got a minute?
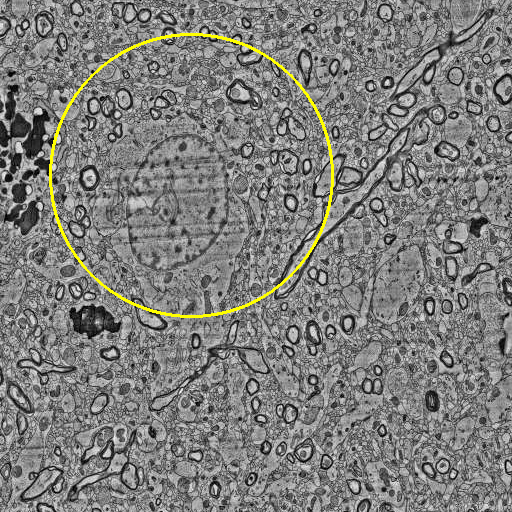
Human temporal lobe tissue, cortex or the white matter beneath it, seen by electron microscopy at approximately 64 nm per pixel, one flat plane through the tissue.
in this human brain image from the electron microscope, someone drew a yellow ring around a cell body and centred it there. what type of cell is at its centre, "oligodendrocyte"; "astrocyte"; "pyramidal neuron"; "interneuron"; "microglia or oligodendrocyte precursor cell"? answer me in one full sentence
It's an astrocyte at the middle of that yellow ring in the shot.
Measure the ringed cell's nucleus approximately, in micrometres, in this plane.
In this plane, approximately 9 by 7 micrometers.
